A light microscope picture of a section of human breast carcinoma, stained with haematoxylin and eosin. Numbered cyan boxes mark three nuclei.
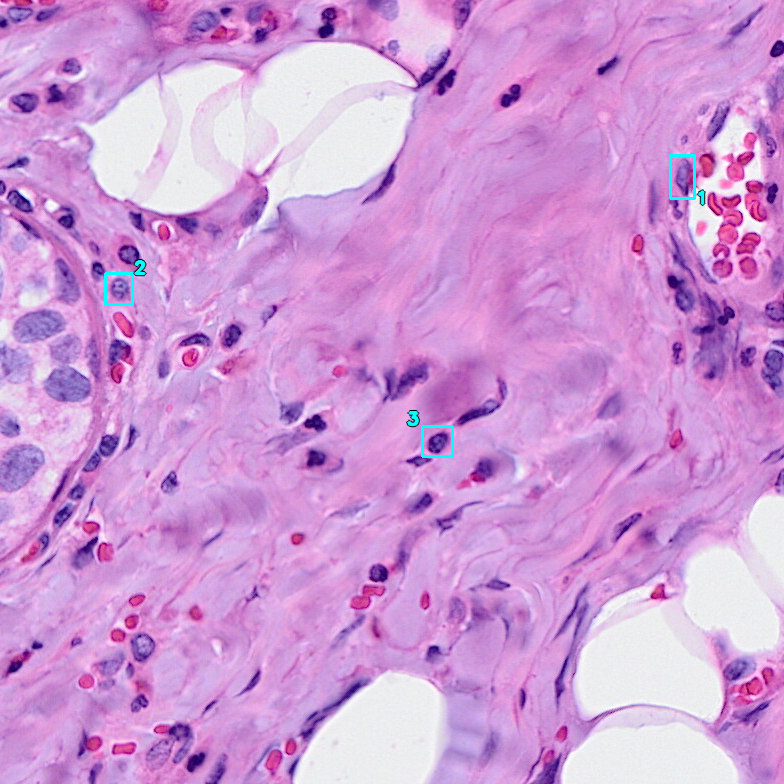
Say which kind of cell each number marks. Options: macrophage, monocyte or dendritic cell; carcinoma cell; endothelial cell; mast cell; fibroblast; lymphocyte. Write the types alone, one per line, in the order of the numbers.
endothelial cell
mast cell
mast cell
